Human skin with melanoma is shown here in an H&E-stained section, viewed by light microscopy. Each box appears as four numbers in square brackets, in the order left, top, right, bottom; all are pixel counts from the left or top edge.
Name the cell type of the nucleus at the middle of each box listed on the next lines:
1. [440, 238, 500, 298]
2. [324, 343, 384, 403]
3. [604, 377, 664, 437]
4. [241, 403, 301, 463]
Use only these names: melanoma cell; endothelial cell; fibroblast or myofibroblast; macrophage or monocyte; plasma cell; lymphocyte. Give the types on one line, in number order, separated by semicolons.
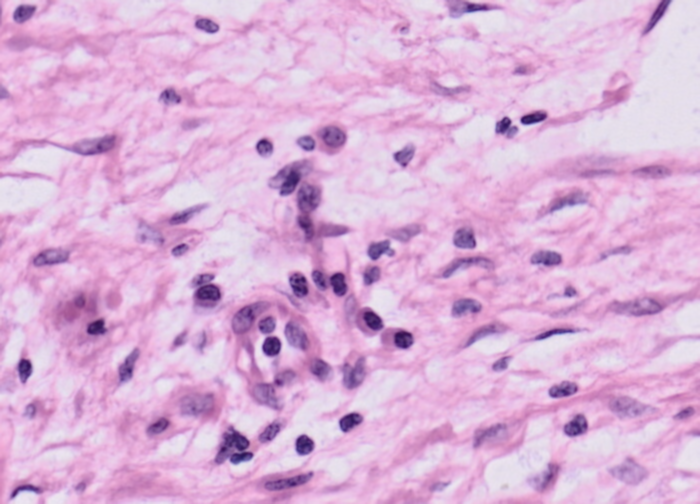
fibroblast or myofibroblast; macrophage or monocyte; fibroblast or myofibroblast; macrophage or monocyte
